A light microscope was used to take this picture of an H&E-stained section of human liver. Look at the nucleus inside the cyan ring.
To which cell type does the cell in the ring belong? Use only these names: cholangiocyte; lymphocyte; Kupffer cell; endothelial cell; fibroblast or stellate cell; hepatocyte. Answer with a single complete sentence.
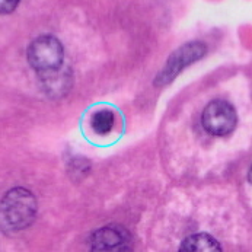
Assigned to a cell type, the cell in the ring is a lymphocyte.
